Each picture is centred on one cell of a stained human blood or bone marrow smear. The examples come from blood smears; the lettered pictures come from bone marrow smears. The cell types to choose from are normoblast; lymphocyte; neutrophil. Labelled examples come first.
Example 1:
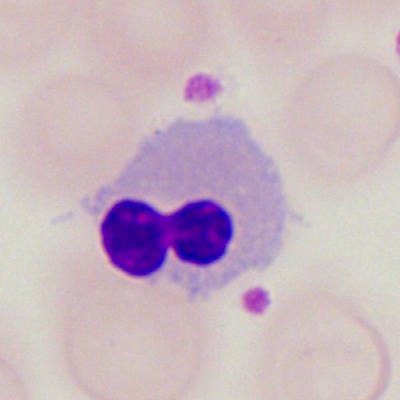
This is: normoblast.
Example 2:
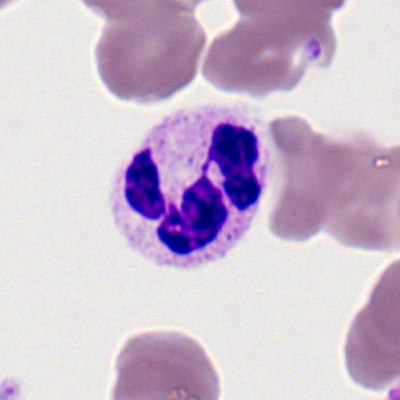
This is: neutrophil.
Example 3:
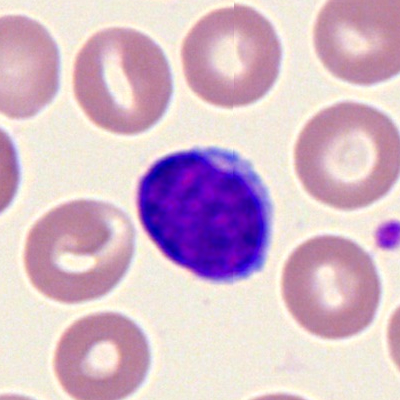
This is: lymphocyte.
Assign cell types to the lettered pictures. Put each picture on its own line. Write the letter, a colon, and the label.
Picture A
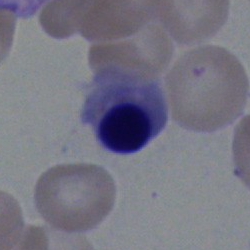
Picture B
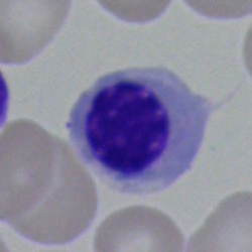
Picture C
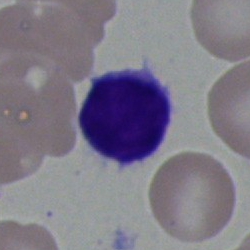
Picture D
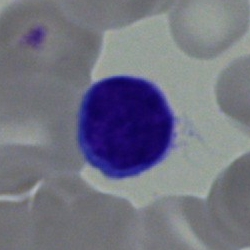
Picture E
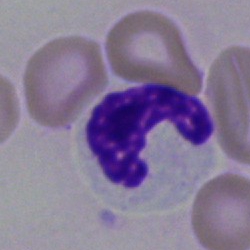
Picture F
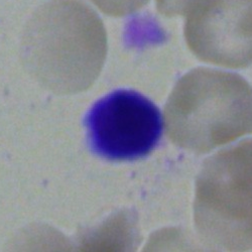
A: normoblast.
B: normoblast.
C: lymphocyte.
D: lymphocyte.
E: neutrophil.
F: lymphocyte.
